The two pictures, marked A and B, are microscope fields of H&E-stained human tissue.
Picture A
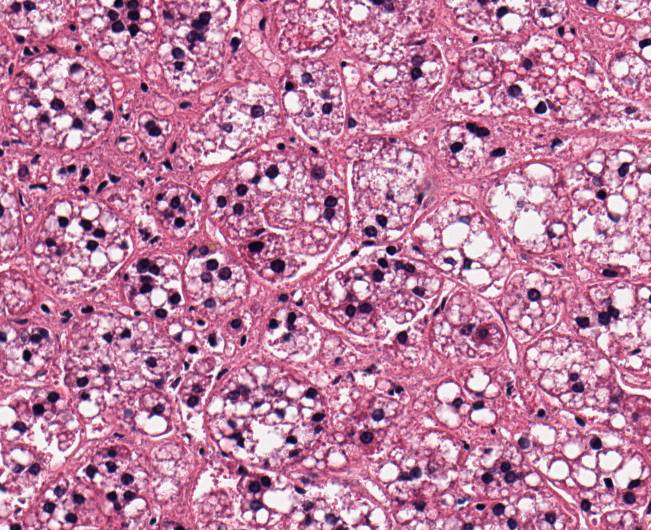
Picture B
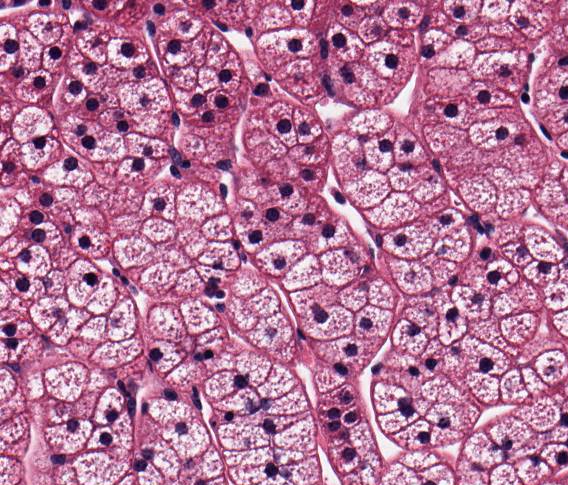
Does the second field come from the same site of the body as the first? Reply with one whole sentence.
Yes, both come from the adrenal gland.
